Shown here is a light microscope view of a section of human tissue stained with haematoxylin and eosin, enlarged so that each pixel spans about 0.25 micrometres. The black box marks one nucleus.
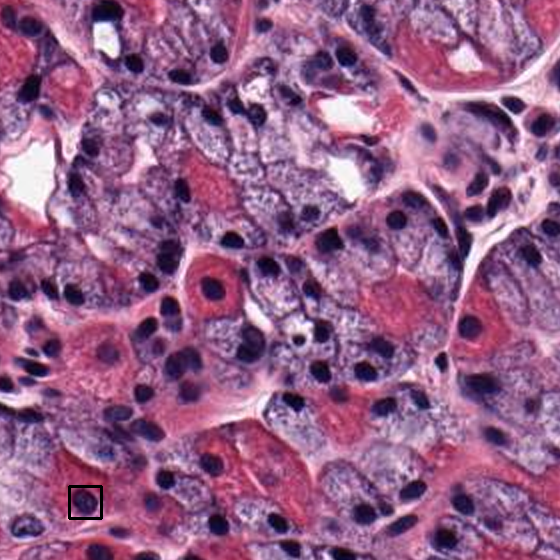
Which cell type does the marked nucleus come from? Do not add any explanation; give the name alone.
parietal cell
